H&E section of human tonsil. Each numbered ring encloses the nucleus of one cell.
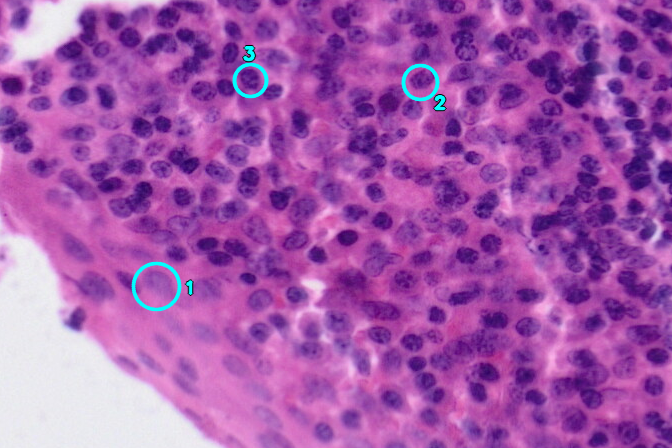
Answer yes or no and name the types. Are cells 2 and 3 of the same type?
Yes, the cells bearing numbers 2 and 3 are both plasma cells.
